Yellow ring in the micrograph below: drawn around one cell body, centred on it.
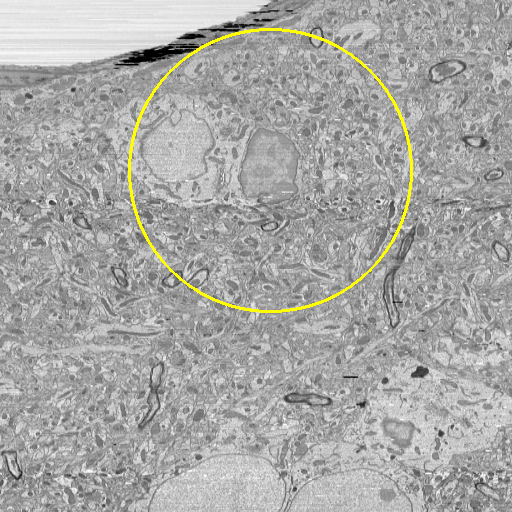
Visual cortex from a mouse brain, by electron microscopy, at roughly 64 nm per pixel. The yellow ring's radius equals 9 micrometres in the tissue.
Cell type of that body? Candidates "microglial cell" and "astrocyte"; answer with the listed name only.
microglial cell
